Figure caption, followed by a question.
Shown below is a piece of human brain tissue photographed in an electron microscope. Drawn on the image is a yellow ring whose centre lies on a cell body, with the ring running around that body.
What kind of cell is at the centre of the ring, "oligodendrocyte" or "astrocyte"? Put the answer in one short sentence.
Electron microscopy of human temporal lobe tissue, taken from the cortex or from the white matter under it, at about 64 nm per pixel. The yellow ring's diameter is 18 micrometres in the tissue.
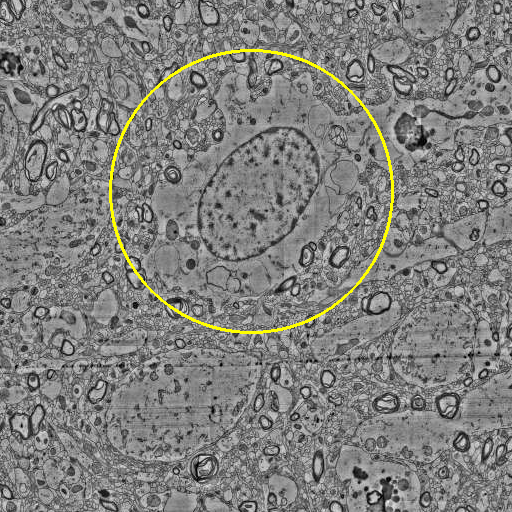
The ring marks the cell body of an astrocyte.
